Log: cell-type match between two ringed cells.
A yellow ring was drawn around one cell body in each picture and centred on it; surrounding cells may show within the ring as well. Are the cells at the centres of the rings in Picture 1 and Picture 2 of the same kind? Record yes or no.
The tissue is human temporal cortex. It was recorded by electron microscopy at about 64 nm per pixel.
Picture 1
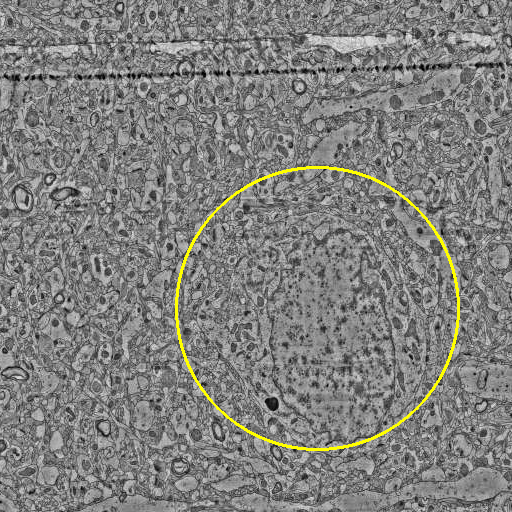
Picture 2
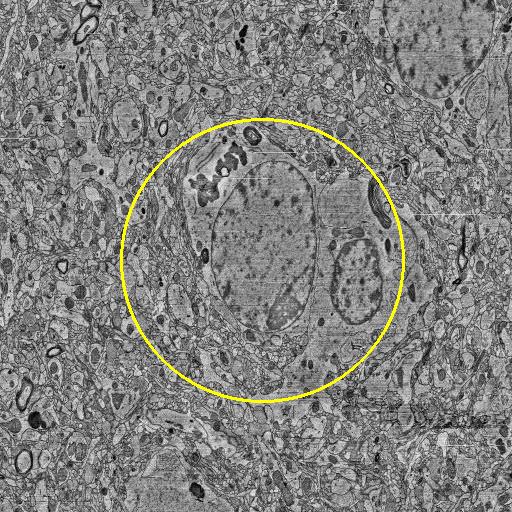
no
